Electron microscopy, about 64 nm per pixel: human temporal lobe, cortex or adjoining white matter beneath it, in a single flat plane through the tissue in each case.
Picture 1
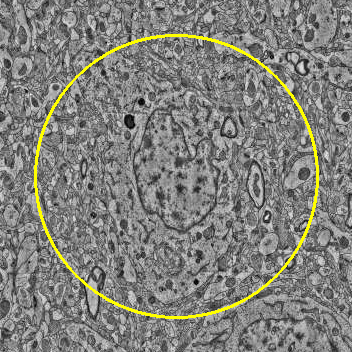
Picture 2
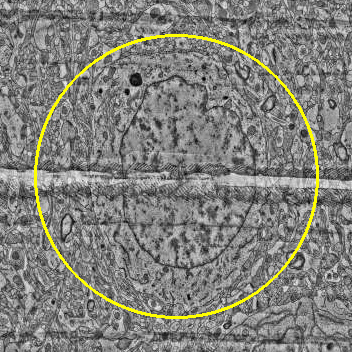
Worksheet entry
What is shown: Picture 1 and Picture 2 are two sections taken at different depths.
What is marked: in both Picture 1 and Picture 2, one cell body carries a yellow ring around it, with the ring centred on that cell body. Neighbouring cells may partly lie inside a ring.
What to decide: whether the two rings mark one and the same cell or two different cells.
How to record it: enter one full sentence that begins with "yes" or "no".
Yes, each ring singles out the same cell.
